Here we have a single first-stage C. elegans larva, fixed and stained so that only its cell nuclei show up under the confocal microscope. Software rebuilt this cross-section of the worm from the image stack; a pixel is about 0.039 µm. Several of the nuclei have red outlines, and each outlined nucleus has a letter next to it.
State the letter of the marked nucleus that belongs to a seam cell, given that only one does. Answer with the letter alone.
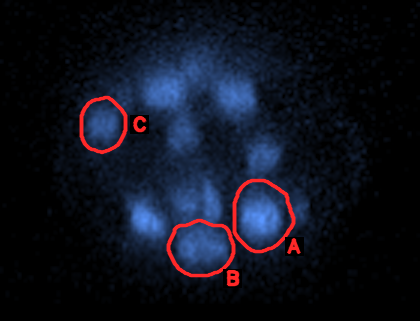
B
